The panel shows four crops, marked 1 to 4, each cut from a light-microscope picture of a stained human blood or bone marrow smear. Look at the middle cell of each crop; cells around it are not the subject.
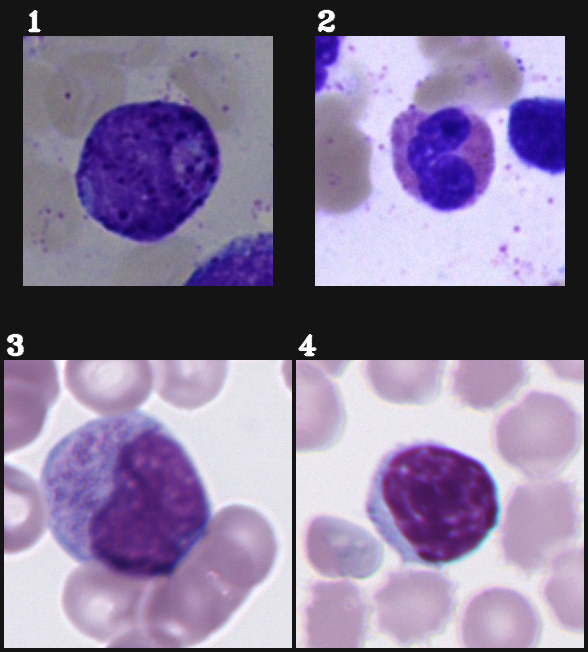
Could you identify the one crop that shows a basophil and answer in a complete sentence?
The one that shows a basophil is crop 1.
